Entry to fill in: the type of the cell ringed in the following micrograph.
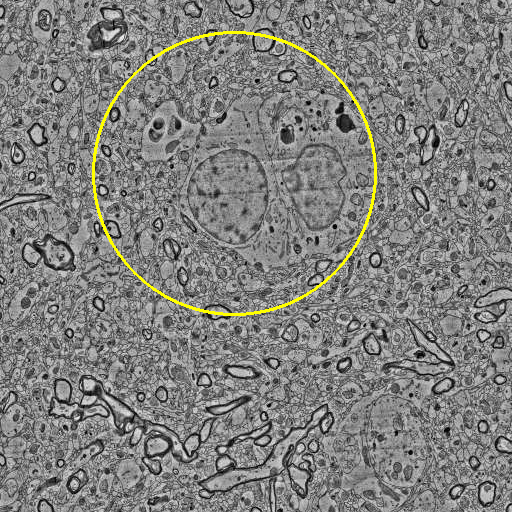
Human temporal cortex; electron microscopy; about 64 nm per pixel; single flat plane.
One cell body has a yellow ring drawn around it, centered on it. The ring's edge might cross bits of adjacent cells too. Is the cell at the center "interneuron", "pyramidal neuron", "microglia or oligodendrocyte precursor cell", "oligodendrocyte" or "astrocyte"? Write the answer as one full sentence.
This entry names a microglial cell or oligodendrocyte precursor cell as the cell whose body lies at the ring's center.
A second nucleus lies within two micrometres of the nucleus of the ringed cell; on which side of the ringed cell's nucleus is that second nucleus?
The other nucleus appears to the right of it.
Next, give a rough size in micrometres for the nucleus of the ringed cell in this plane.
Approximately 6 micrometres across in this plane.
